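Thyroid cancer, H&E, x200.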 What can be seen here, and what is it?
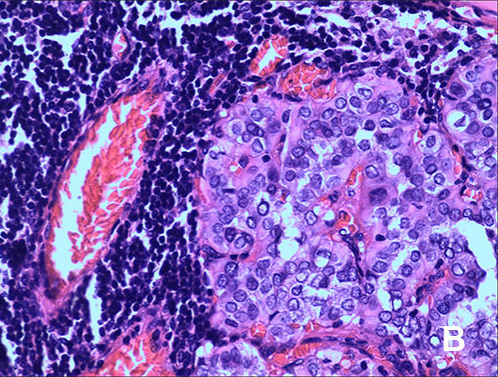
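The epithelial cells have enlarged, oval, pale nuclei that are packed closely and overlap, set in pink cytoplasm, with a small lumen at the right edge. Between the two areas run thin-walled blood vessels filled with red blood cells.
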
